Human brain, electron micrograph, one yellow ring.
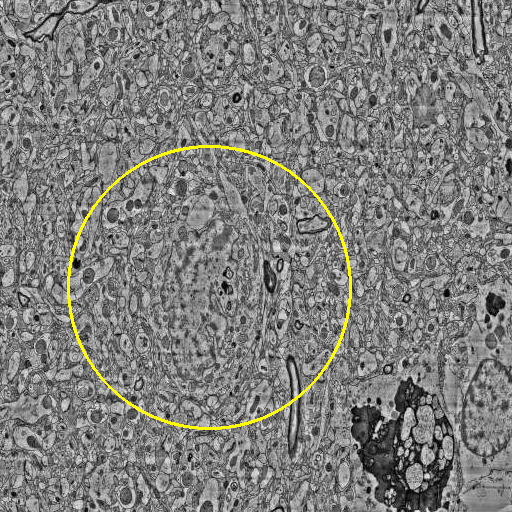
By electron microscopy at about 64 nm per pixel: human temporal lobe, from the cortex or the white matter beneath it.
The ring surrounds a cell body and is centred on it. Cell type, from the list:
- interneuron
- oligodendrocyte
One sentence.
The yellow ring circles an interneuron.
